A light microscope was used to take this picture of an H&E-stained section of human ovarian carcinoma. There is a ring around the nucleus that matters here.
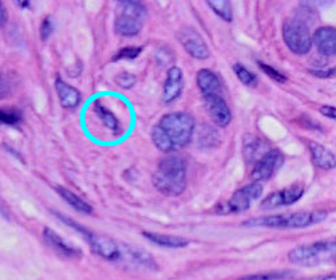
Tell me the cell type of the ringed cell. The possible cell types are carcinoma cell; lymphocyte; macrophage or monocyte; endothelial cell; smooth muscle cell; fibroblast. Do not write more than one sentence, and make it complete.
Considered by cell type, the ringed cell is a fibroblast.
